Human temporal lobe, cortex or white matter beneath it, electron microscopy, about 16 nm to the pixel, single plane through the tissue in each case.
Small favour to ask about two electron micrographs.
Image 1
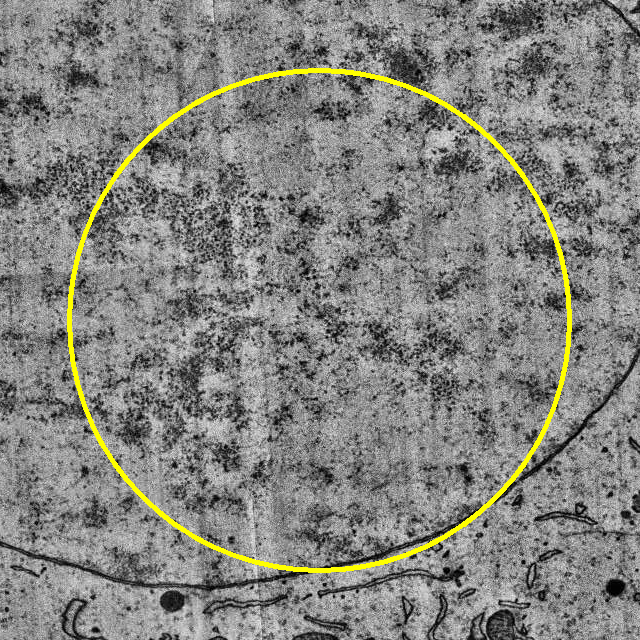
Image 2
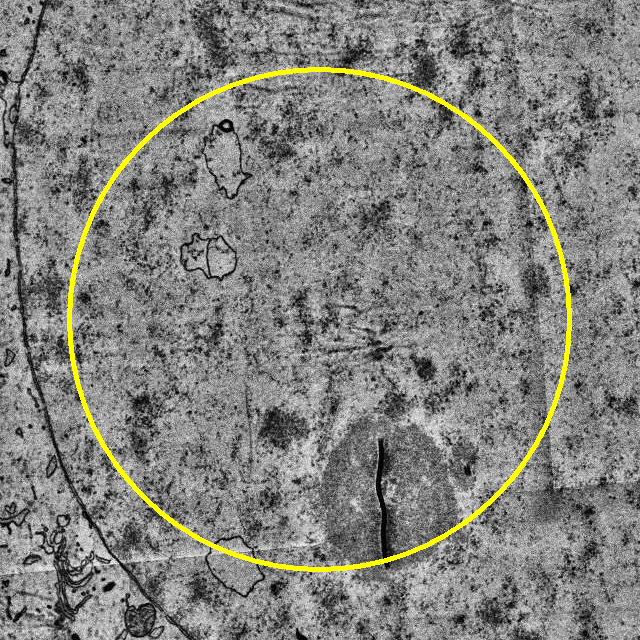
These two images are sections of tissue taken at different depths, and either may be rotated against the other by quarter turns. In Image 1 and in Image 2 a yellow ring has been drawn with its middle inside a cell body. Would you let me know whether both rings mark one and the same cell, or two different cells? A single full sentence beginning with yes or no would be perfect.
Yes, both marked profiles belong to the very same cell.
